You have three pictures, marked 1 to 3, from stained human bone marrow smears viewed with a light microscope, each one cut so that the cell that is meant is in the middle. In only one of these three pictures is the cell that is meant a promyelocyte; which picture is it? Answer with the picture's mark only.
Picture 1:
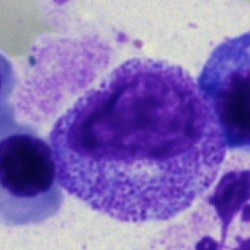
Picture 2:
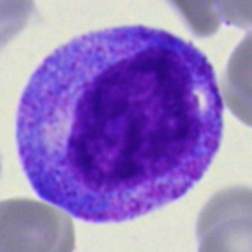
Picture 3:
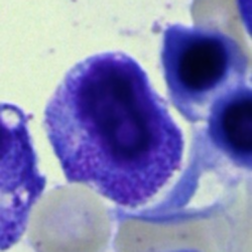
2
